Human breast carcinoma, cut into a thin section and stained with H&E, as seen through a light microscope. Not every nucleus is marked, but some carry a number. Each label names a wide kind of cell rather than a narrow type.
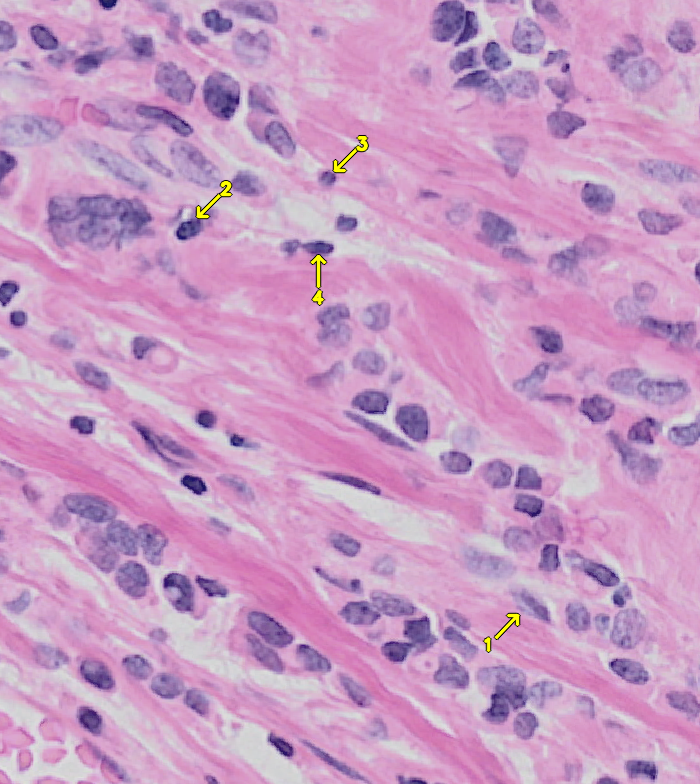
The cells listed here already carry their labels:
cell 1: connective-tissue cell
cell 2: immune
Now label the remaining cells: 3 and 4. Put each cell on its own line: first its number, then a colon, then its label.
3: immune
4: immune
